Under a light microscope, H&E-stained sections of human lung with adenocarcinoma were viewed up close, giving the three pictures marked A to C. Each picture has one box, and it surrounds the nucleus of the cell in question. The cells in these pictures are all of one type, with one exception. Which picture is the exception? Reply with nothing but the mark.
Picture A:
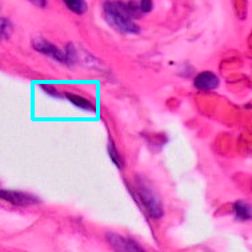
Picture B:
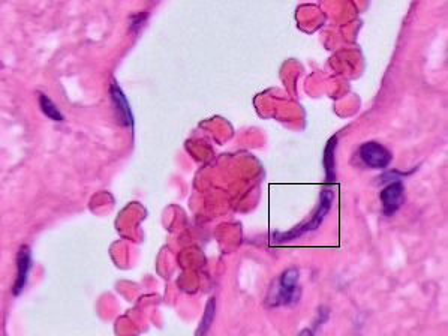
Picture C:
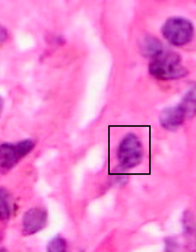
C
